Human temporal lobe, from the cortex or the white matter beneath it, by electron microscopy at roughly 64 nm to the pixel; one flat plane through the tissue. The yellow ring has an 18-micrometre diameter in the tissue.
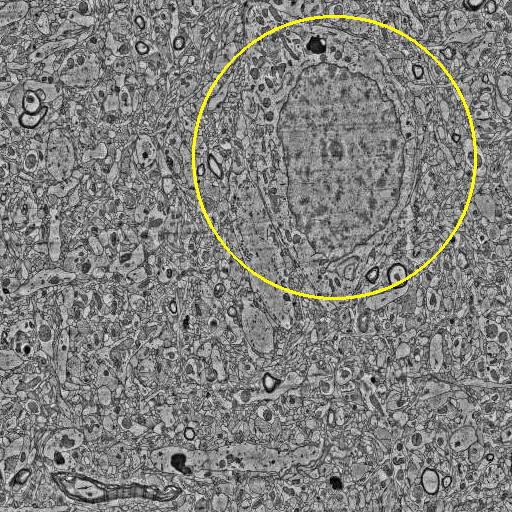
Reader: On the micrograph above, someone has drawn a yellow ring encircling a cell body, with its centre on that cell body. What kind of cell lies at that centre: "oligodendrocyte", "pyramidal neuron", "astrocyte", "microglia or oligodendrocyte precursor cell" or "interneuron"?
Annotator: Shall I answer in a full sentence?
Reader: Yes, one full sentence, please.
Here an interneuron sits at the centre of the yellow ring drawn on the micrograph.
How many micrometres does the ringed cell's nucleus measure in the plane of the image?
In this plane, about 12 by 8 micrometres: the nucleus is clearly longer than it is wide.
